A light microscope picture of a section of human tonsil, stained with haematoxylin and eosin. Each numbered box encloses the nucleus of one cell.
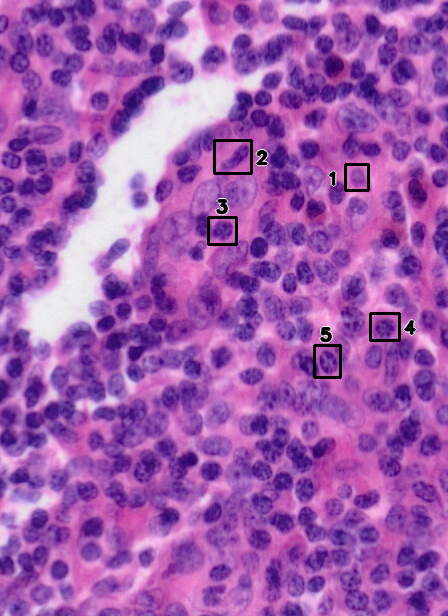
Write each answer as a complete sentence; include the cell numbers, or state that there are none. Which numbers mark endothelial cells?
The cells numbered 1, 2 and 3 are of the kind known as endothelial cells.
